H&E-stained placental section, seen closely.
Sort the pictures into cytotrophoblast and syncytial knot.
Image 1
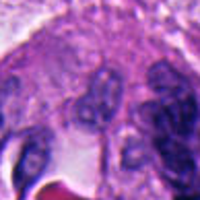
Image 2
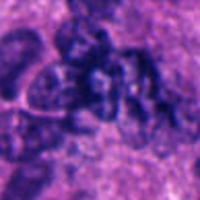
Cytotrophoblasts: 1
Syncytial knots: 2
